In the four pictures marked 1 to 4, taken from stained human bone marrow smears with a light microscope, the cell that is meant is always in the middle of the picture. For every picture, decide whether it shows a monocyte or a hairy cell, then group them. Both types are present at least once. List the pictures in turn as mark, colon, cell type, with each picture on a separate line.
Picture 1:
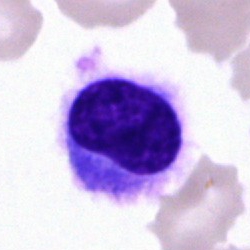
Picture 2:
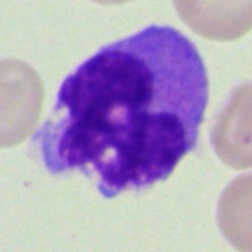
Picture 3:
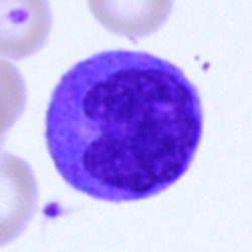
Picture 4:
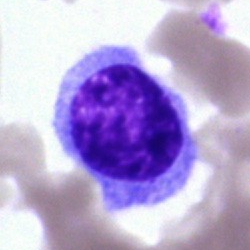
1: hairy cell
2: monocyte
3: monocyte
4: hairy cell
